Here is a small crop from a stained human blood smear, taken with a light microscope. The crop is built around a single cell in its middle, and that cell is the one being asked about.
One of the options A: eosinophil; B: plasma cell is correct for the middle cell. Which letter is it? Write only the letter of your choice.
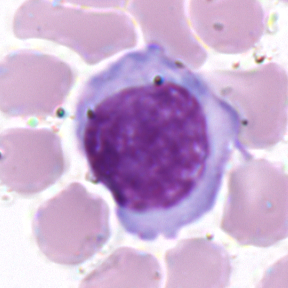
B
